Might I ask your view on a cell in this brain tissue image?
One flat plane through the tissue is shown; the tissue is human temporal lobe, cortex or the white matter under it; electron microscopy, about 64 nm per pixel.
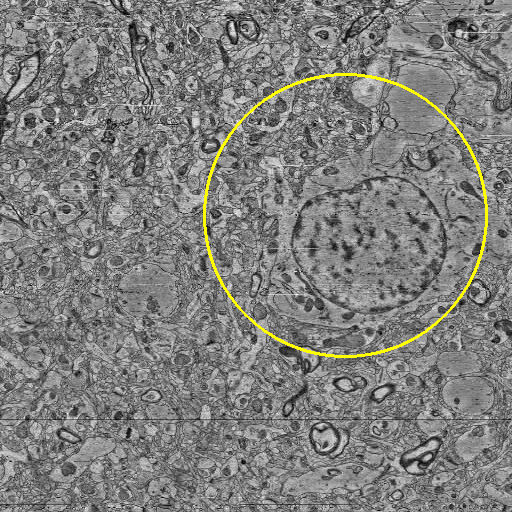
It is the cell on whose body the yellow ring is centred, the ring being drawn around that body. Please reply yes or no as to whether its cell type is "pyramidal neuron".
no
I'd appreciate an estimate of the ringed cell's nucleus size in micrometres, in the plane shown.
The nucleus of the ringed cell is approximately 10 by 9 micrometres in this plane.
